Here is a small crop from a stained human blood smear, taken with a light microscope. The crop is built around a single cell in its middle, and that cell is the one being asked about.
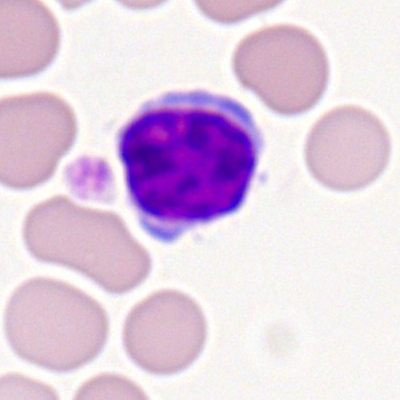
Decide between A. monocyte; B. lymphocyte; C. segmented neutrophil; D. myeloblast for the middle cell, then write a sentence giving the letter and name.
Option B gives the correct identity of the central cell, namely a lymphocyte.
